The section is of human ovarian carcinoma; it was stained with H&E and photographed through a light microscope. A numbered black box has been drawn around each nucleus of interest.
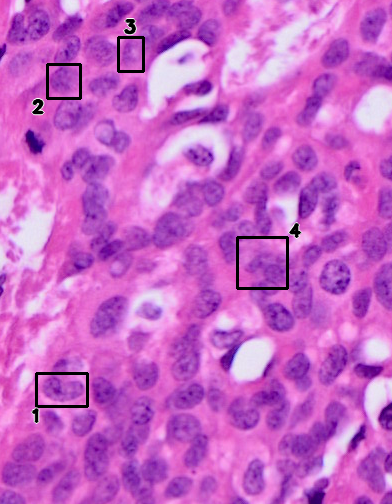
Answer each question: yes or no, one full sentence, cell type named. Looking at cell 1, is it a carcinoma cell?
No, cell 1 represents a macrophage or monocyte rather than a carcinoma cell.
